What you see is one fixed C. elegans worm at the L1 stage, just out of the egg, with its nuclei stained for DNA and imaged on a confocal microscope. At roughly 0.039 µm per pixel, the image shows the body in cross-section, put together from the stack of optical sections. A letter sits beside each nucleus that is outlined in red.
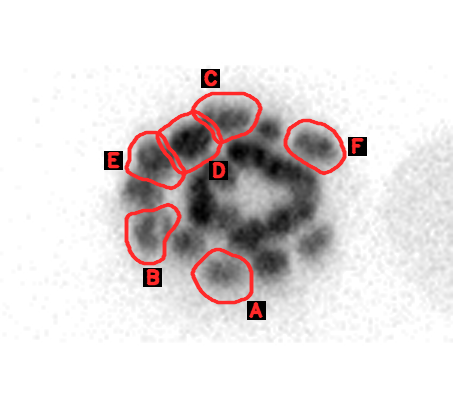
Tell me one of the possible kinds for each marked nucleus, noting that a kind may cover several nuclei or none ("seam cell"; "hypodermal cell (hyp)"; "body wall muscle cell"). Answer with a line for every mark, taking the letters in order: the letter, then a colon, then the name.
A: seam cell
B: body wall muscle cell
C: seam cell
D: hypodermal cell (hyp)
E: body wall muscle cell
F: body wall muscle cell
